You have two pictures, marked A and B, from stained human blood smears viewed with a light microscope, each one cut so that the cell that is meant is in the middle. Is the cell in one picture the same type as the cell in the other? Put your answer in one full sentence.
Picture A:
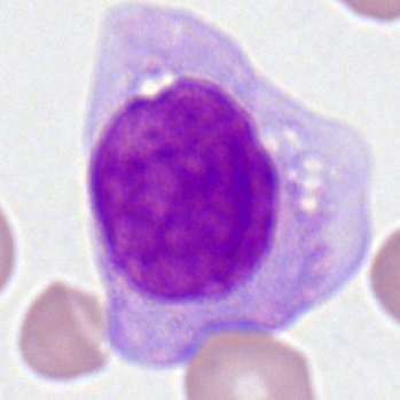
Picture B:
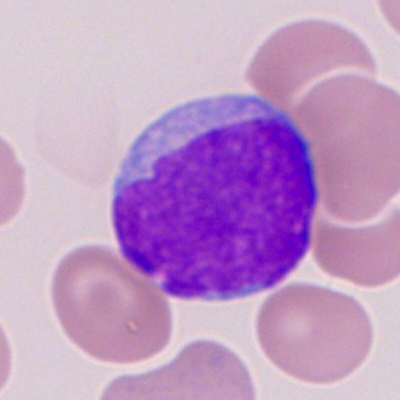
No, picture A shows a monocyte and picture B shows a myeloblast.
